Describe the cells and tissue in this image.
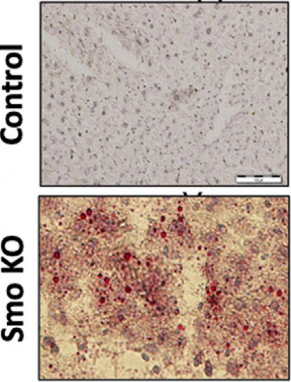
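Two fields of liver parenchyma are shown. The upper field is pale, with small dark nuclei scattered evenly through sheets of cells and a few pale vessel clefts, and it holds almost no red droplets. The lower field is crowded with round red droplets of varying size within the cell cytoplasm on a yellowish background. The droplets cluster densely in broad bands, with paler strips between them.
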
